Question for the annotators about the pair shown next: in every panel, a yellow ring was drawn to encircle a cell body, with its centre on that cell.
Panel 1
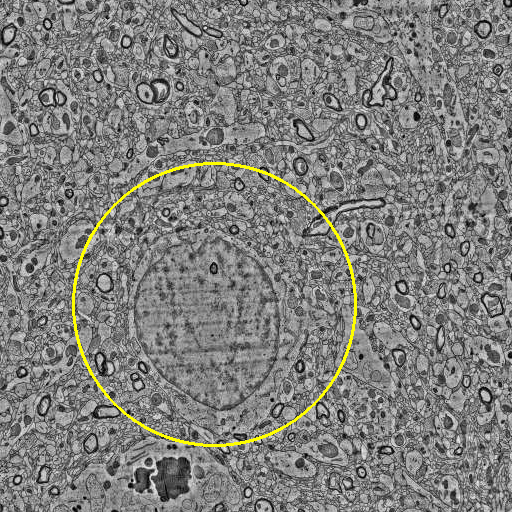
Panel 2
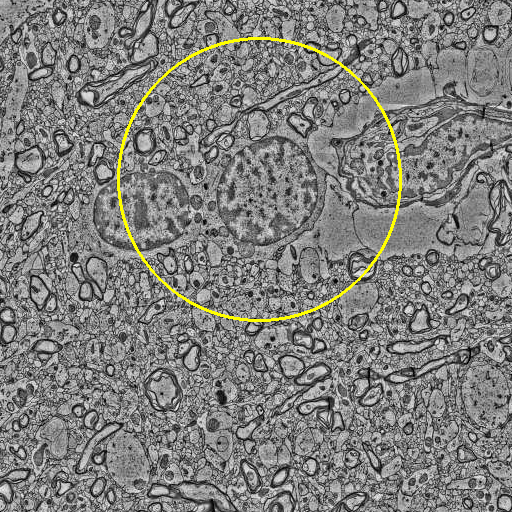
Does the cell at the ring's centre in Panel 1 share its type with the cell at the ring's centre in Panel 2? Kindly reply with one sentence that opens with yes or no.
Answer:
No, in Panels 1 and 2 the cells at the ring centres belong to separate types.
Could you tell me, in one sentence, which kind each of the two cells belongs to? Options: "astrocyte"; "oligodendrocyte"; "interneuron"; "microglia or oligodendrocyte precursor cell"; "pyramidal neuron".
At the centre of the first ring sits an interneuron, and at the centre of the second sits an oligodendrocyte.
